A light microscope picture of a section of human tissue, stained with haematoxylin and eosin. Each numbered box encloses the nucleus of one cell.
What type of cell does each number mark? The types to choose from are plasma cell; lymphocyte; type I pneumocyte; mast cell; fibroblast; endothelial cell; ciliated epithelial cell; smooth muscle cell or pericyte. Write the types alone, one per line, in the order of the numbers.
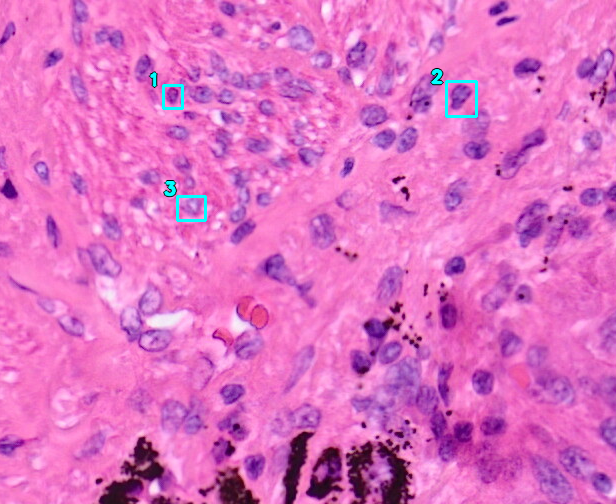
smooth muscle cell or pericyte
mast cell
smooth muscle cell or pericyte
